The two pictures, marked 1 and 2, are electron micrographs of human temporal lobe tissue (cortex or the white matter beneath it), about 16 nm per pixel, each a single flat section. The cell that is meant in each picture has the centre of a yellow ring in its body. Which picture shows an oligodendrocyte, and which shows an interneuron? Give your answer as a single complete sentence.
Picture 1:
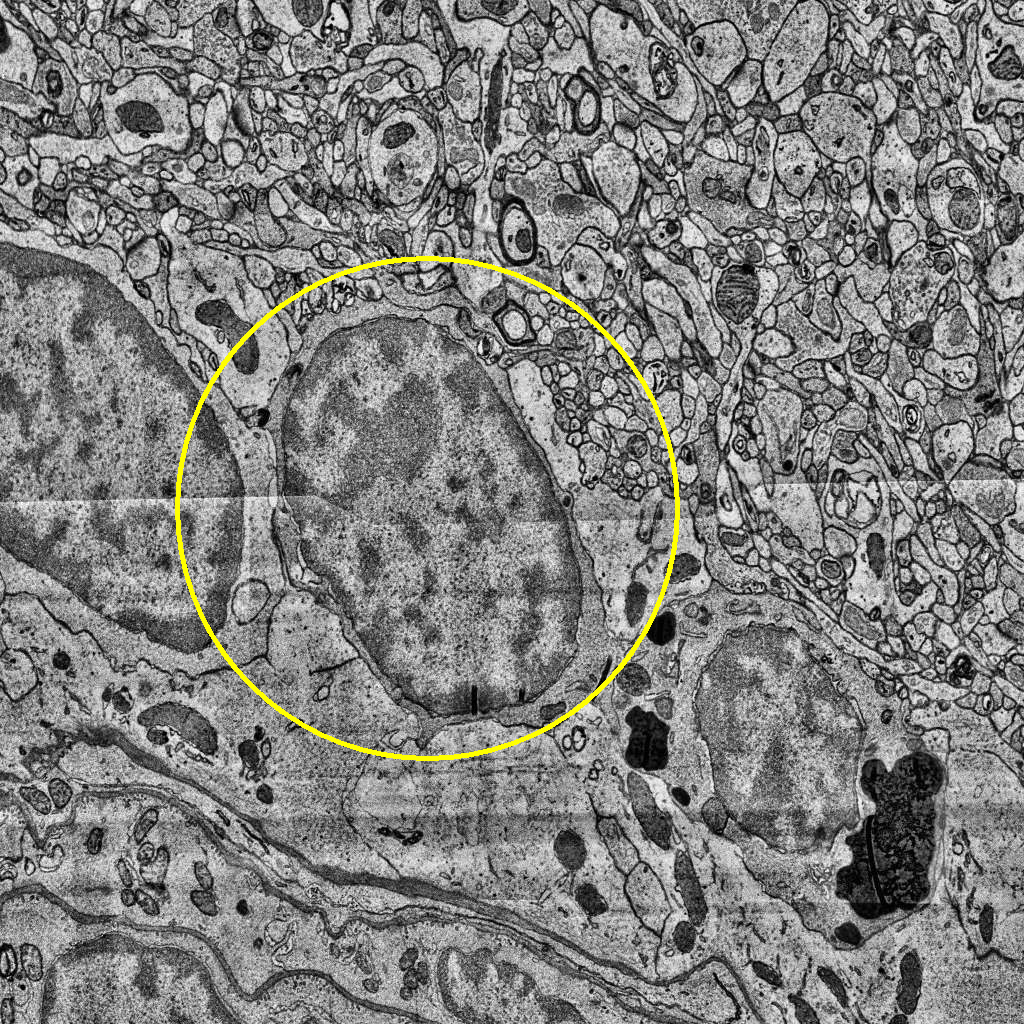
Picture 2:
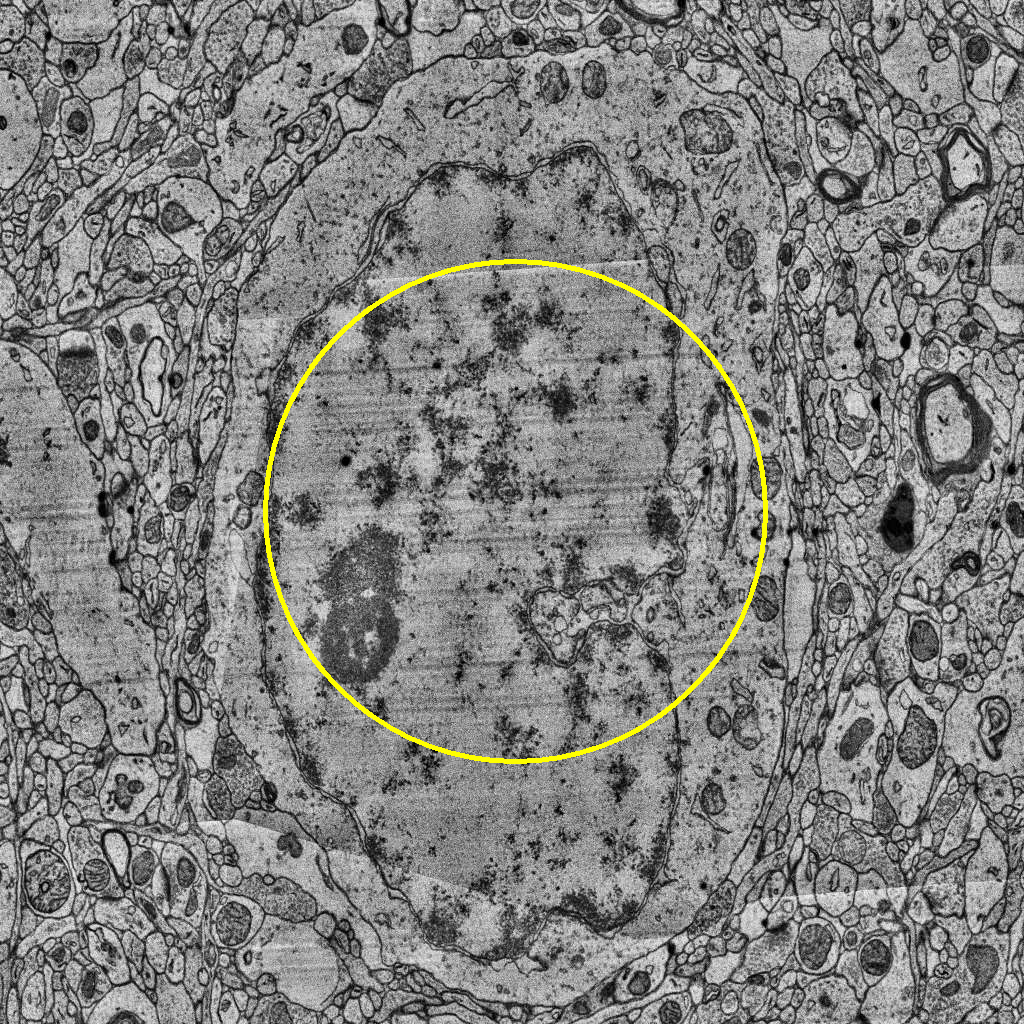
In picture 1 the cell is an oligodendrocyte; in picture 2, an interneuron.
